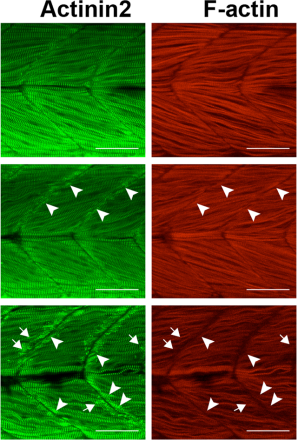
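Long, parallel fibers show fine regular cross-striations and are grouped into segments separated by slanted boundary lines, the myosepta. A horizontal line runs through the middle of each image. In the top row the striations are even and the boundaries are clean. In the middle row, small bright green clumps grow out at the segment boundaries. In the bottom row, larger green clumps sit at the boundaries, and irregular bright spots also lie within the fibers, disturbing the striated pattern.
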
